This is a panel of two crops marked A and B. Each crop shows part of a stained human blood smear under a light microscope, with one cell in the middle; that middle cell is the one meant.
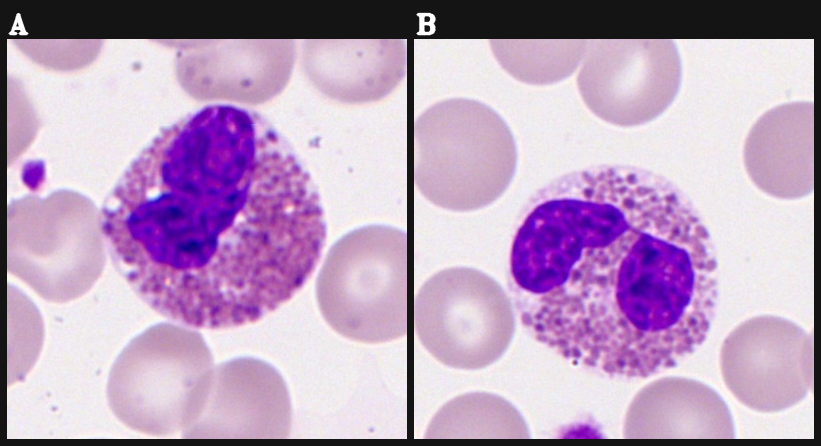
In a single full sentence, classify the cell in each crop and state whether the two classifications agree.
Yes, eosinophils are shown in both crops.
